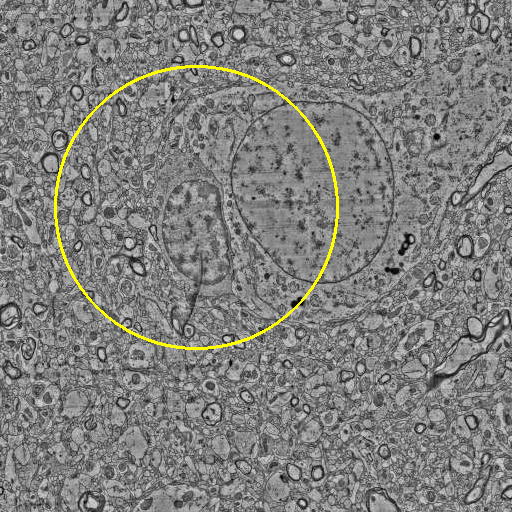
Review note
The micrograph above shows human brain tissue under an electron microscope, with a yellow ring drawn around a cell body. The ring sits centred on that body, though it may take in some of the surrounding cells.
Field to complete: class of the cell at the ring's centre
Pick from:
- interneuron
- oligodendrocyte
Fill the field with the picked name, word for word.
oligodendrocyte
